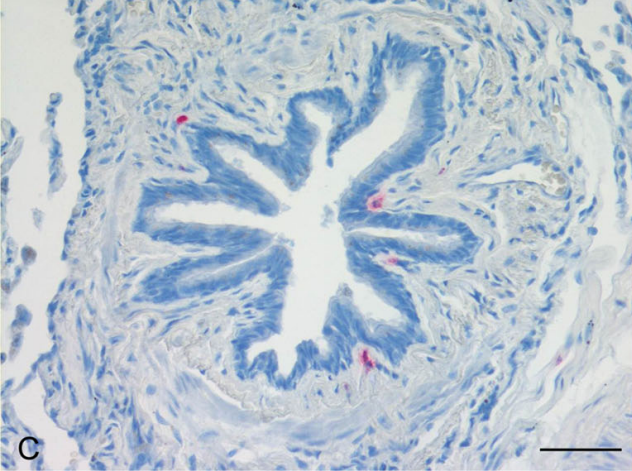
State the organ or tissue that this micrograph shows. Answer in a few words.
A: Small airways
